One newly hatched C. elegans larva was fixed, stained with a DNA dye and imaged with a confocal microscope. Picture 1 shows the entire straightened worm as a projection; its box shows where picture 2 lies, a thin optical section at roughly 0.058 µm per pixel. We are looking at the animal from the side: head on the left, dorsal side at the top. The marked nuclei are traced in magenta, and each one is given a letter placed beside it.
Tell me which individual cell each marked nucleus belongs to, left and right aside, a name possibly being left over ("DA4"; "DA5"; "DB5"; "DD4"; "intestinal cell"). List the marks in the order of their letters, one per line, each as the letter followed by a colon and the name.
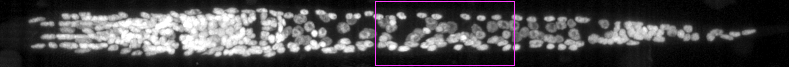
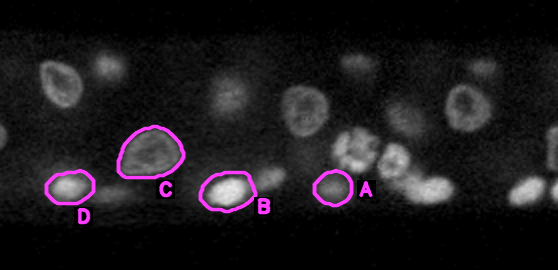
A: DA5
B: DB5
C: intestinal cell
D: DA4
